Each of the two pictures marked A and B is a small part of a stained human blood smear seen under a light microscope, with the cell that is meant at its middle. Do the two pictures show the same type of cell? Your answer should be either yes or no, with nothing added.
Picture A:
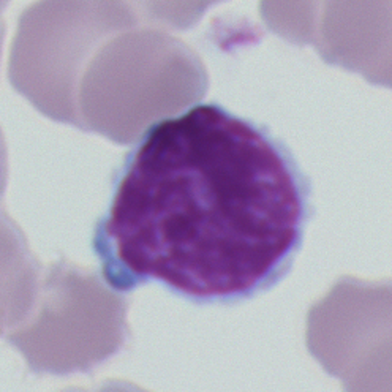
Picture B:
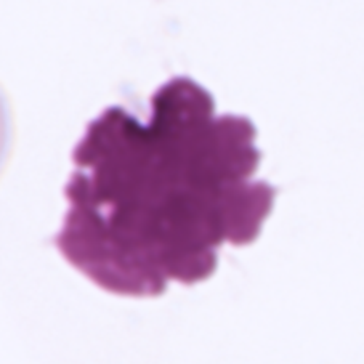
no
